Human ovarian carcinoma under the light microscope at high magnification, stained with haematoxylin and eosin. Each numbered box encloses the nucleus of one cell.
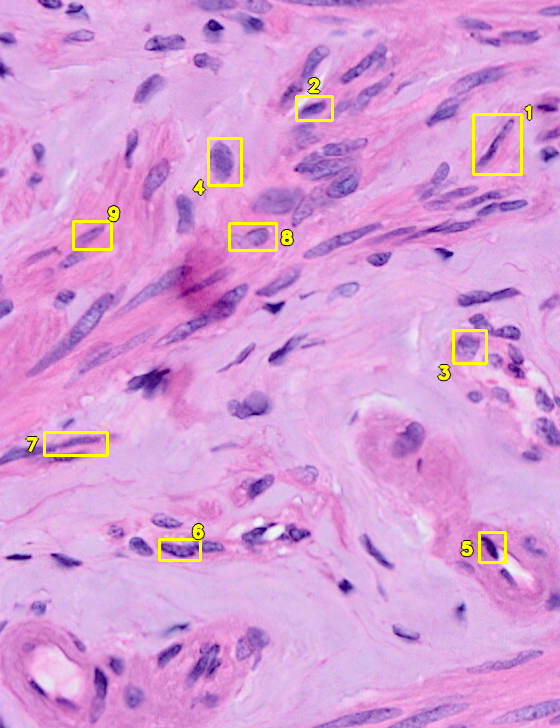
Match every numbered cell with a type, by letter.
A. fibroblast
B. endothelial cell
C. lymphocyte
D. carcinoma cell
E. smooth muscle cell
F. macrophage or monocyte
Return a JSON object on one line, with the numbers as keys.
{"1": "E", "2": "E", "3": "B", "4": "A", "5": "B", "6": "B", "7": "E", "8": "E", "9": "E"}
